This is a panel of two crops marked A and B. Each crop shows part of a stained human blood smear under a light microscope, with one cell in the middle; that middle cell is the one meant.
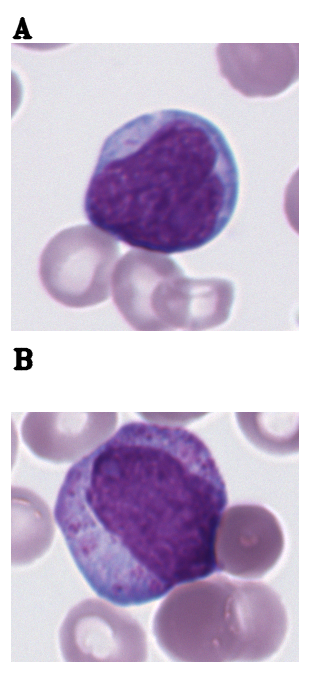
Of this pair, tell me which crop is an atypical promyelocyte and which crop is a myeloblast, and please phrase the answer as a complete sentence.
What crop A shows is a myeloblast, and what crop B shows is an atypical promyelocyte.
